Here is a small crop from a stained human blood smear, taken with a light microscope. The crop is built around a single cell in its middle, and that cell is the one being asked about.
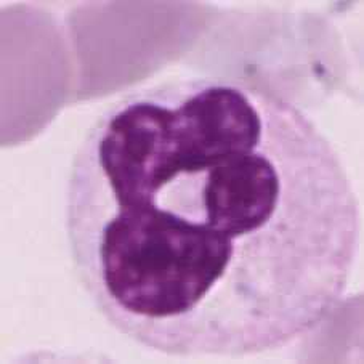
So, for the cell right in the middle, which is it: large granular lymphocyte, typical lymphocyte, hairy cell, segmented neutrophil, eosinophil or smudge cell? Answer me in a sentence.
The central cell in this smear crop is a segmented neutrophil.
